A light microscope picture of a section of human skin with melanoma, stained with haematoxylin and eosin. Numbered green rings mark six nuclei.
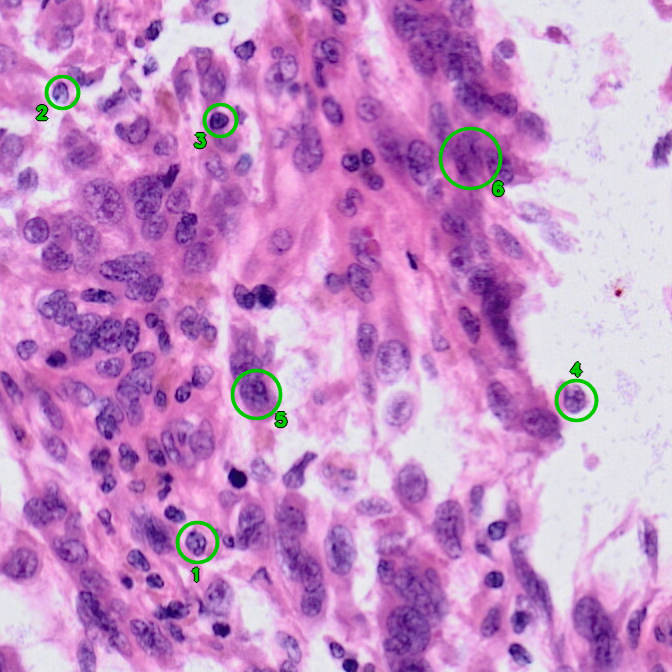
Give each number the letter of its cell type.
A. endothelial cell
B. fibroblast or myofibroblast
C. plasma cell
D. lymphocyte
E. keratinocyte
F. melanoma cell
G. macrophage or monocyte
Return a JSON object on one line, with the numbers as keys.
{"1": "D", "2": "D", "3": "D", "4": "F", "5": "F", "6": "F"}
